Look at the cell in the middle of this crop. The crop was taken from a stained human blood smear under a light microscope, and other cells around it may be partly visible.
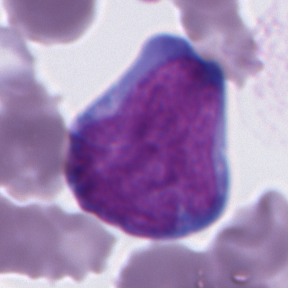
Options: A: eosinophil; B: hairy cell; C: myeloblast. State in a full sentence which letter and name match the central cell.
Since the cell in the centre is a myeloblast, the correct option is C.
